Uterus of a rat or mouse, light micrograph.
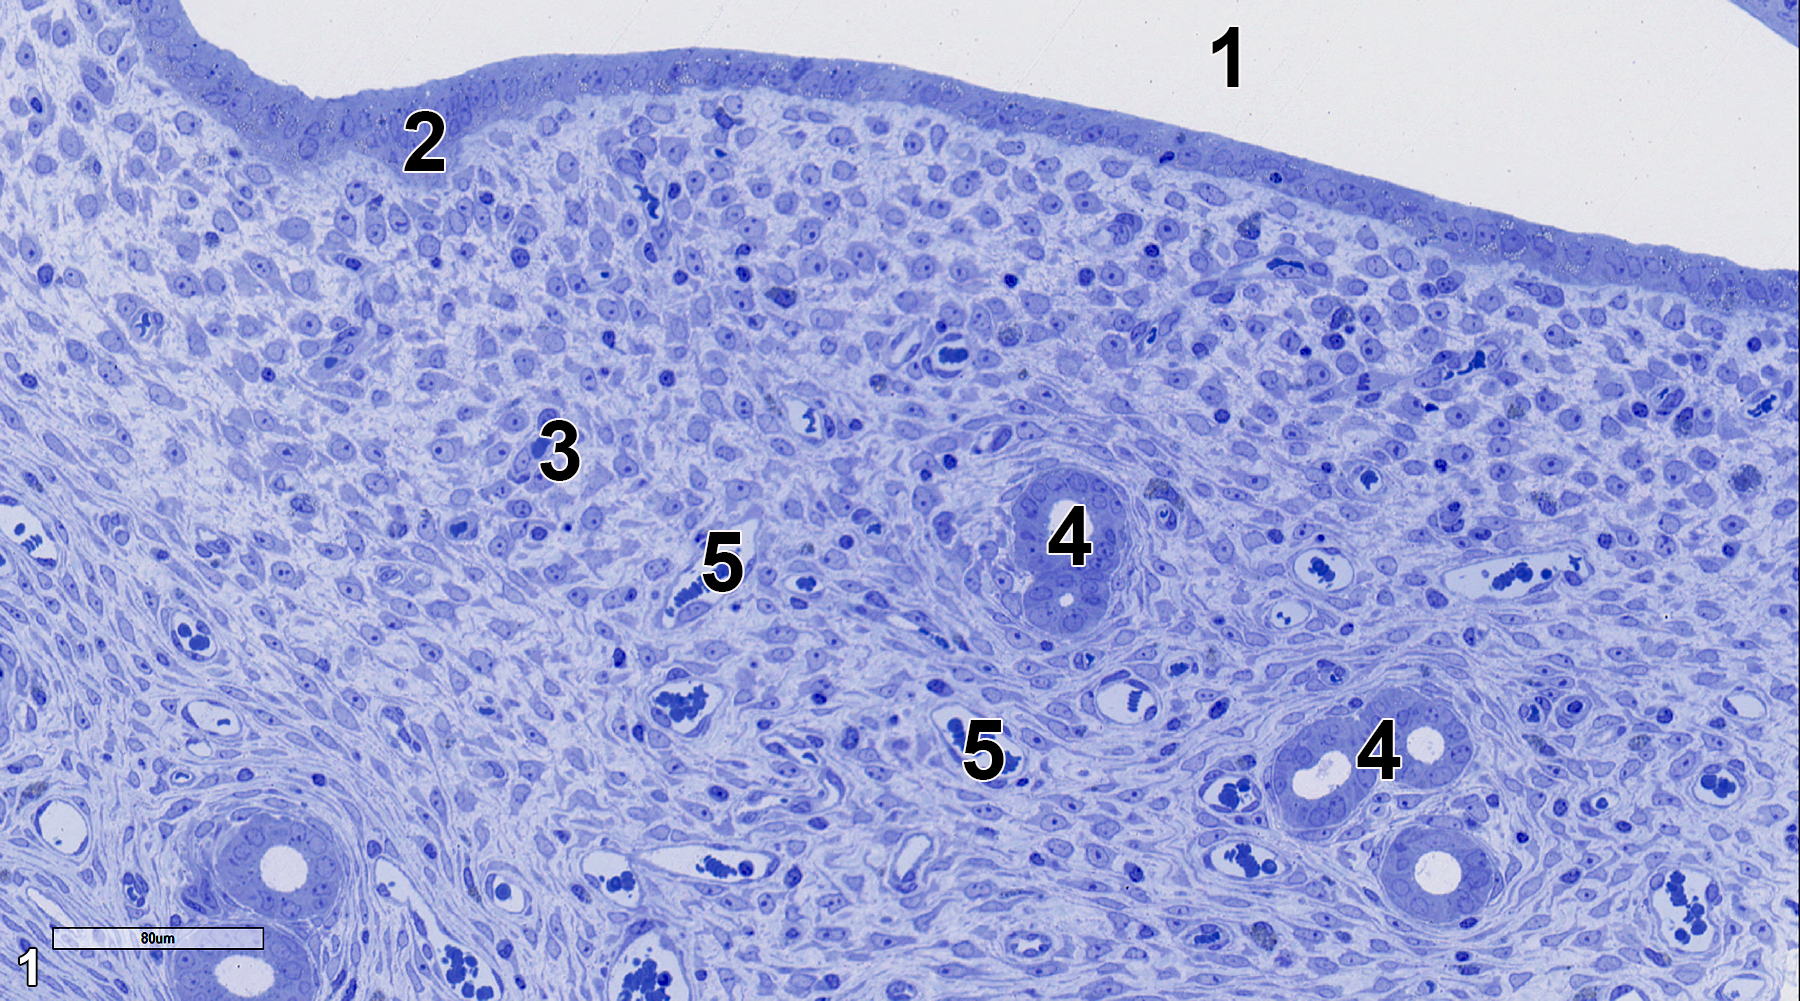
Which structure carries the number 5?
5 marks the vascular elements.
